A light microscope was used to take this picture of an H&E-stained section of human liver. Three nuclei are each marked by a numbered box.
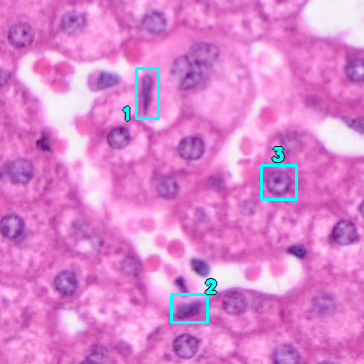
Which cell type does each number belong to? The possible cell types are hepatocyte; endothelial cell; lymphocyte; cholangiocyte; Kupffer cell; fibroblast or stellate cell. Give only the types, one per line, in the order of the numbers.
Kupffer cell
fibroblast or stellate cell
hepatocyte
